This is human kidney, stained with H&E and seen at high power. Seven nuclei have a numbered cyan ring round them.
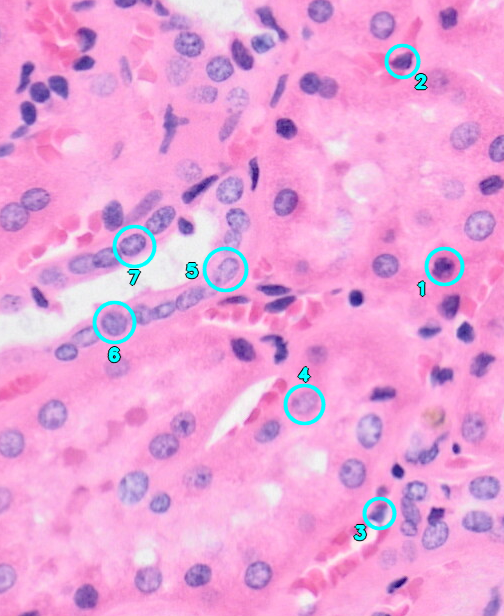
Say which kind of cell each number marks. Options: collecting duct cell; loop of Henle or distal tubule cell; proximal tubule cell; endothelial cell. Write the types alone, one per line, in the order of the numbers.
proximal tubule cell
endothelial cell
endothelial cell
proximal tubule cell
collecting duct cell
collecting duct cell
collecting duct cell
